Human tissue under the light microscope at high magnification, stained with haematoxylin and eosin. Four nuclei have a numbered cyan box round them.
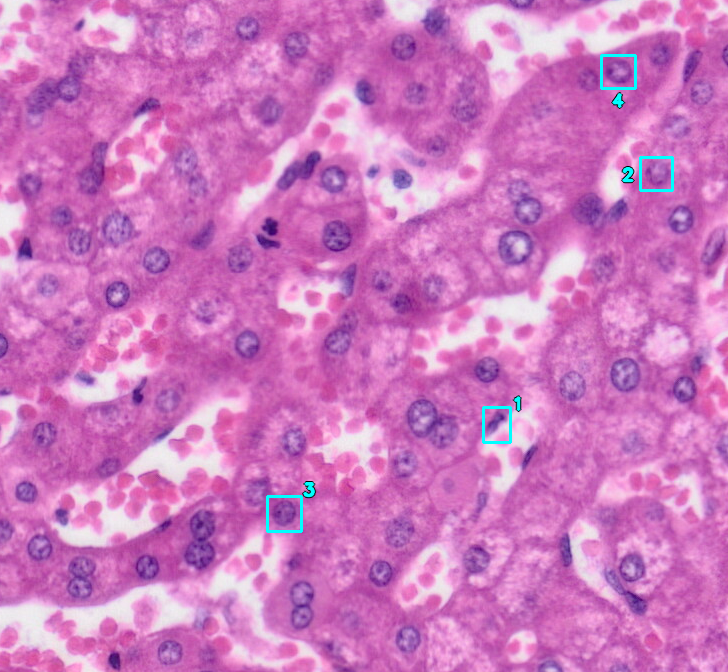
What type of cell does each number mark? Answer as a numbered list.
1. endothelial cell
2. hepatocyte
3. hepatocyte
4. hepatocyte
